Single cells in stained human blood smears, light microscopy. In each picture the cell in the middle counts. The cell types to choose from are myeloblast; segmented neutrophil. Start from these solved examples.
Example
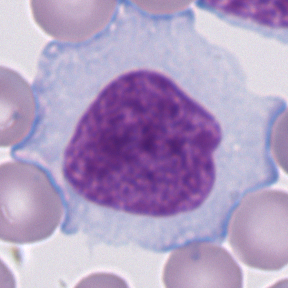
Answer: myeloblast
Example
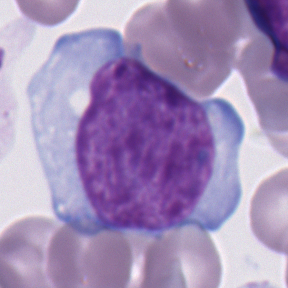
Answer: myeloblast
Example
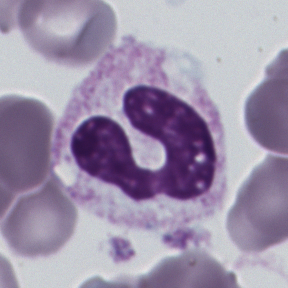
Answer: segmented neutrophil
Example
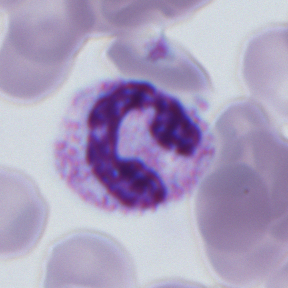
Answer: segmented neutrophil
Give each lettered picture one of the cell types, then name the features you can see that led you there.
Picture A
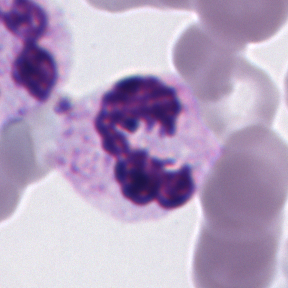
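segmented neutrophil. An ample rim of pale pinkish-lilac cytoplasm surrounds the nucleus.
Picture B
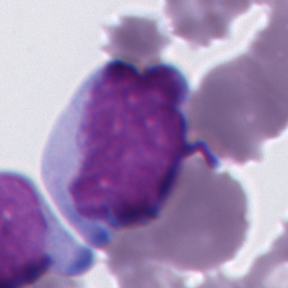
myeloblast. The nucleus fills most of the cell, with the cytoplasm forming a crescent along the left side.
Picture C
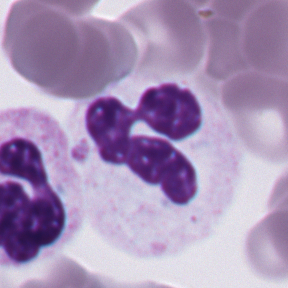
segmented neutrophil. The cytoplasm is plentiful and pale pink-lilac.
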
